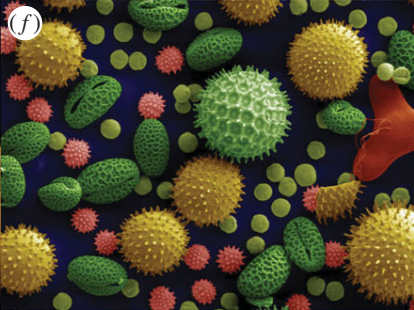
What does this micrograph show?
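Scattered over a dark background lie many separate grains of several distinct kinds, each a single pollen grain seen whole in three dimensions. The largest are spheres covered evenly with pointed spines; smaller spiny spheres appear in another colour. Elongated oval grains carry long furrows running from pole to pole, and their surface is finely pitted or netted. Many tiny smooth spheres fill the gaps between them, and an irregular, flattened grain sits at one edge. The grains do not touch in tissue but lie loose, as in a dusted sample. Their differences in size, outline, apertures and surface sculpture are what set one kind of pollen apart from another.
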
